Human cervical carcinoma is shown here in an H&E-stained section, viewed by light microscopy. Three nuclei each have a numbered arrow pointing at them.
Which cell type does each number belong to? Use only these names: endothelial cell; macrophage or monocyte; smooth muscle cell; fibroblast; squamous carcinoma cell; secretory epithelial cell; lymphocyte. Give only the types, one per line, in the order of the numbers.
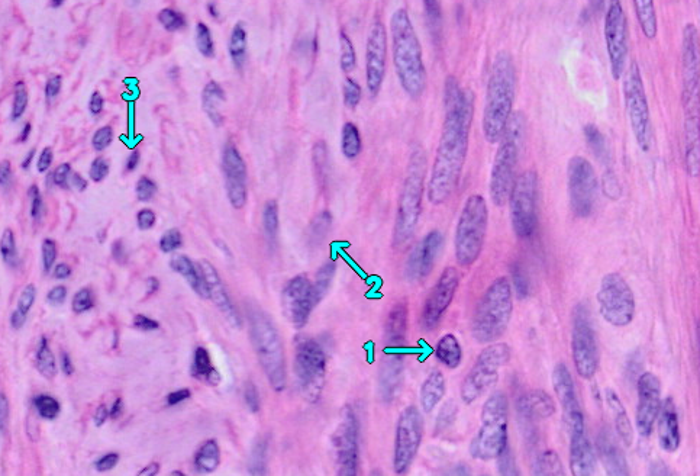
lymphocyte
smooth muscle cell
smooth muscle cell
